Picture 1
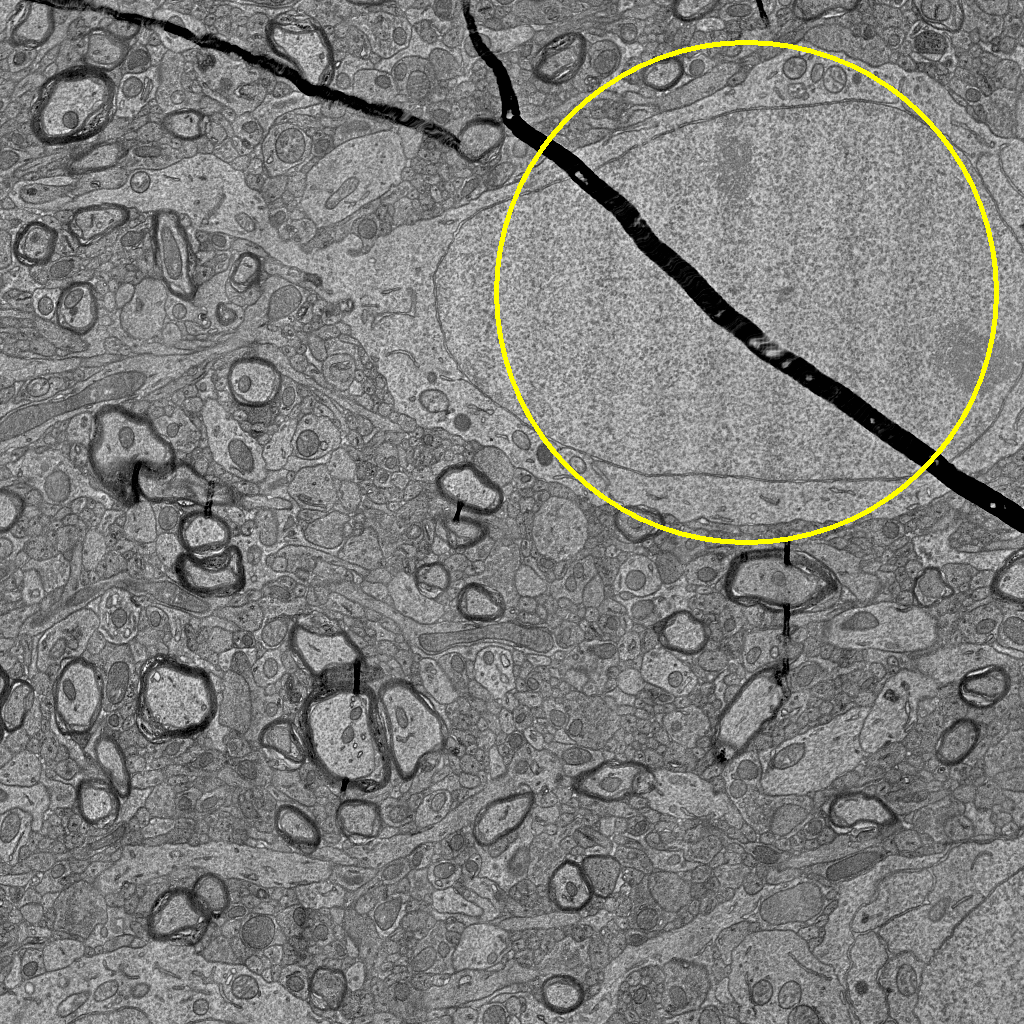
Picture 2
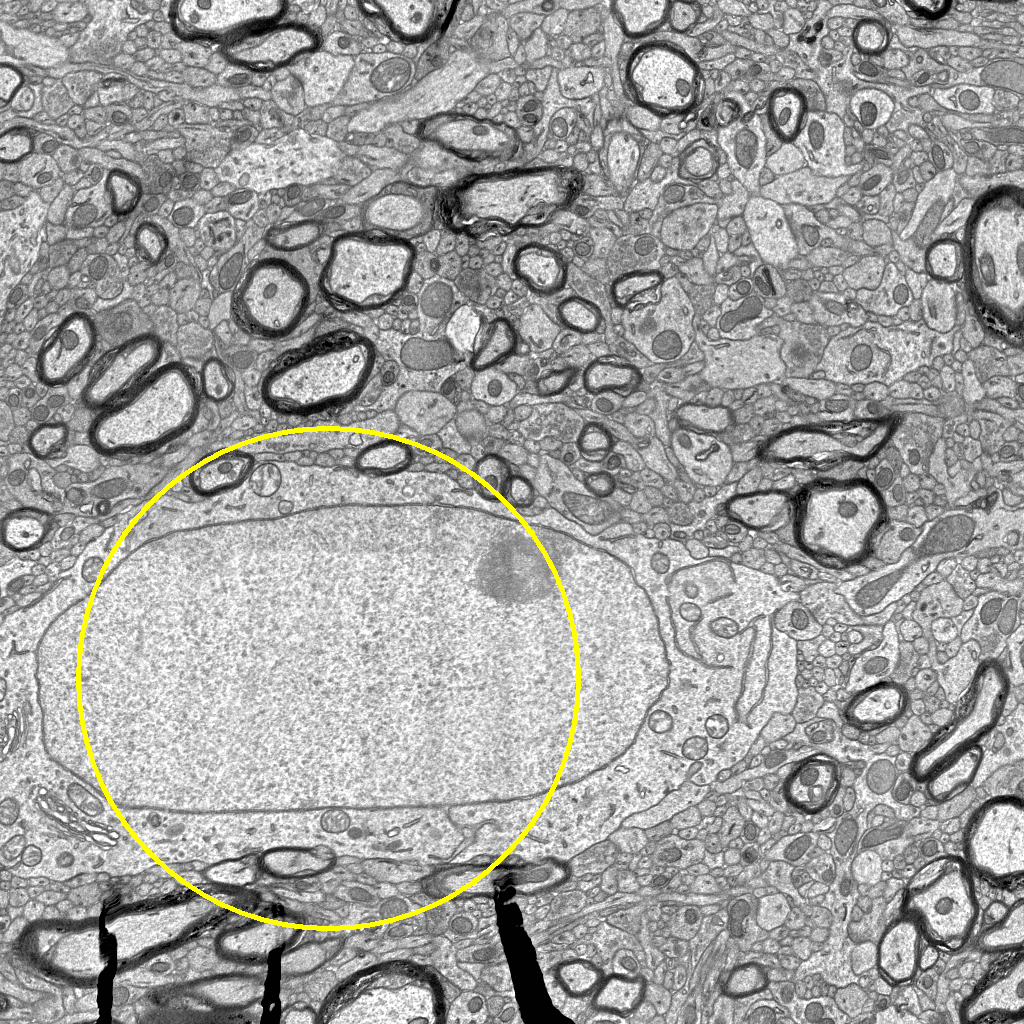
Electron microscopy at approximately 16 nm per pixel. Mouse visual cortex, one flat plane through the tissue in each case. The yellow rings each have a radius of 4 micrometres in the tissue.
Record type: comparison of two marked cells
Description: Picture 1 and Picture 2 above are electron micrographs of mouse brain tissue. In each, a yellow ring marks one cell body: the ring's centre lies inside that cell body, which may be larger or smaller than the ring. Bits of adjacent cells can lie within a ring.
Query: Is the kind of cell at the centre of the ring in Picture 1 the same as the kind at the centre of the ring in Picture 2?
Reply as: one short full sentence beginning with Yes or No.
Yes, the two cells at the ring centres are of the same kind.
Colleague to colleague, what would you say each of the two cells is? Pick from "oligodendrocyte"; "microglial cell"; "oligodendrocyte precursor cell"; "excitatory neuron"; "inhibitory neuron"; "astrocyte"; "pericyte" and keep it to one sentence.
Both cells are the same kind, each one being an excitatory neuron.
